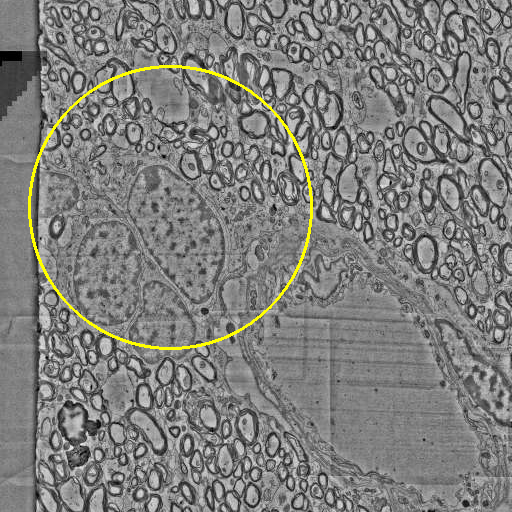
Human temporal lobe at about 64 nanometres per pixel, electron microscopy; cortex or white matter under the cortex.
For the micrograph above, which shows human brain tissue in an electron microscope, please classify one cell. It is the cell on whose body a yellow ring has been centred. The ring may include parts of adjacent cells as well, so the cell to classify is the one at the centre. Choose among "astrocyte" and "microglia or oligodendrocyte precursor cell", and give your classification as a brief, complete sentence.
I classify this cell as a microglial cell or oligodendrocyte precursor cell.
